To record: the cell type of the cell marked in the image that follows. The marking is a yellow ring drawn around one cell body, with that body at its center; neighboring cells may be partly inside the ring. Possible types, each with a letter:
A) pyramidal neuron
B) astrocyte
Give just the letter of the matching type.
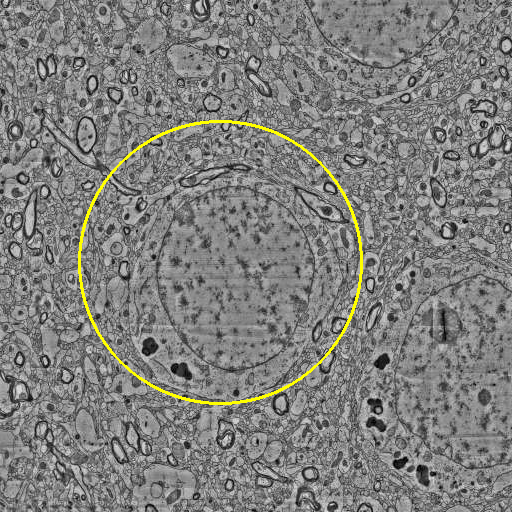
A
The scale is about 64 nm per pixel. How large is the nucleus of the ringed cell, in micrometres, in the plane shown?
Approximately 12 micrometers across in this plane.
